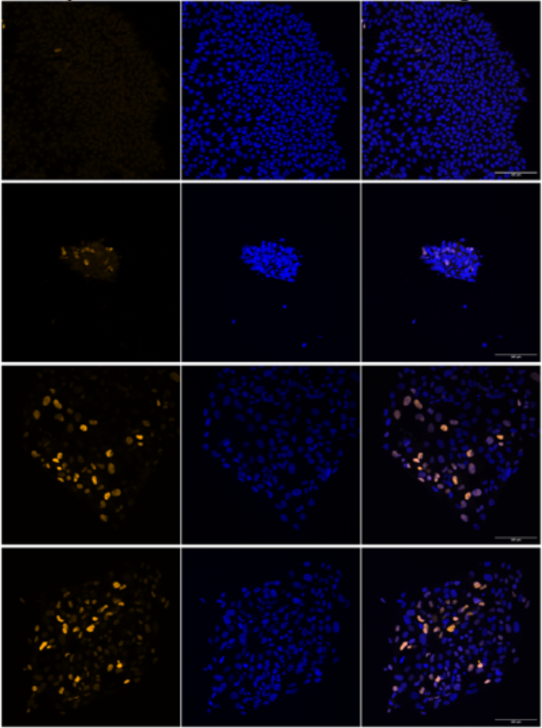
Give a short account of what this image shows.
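In the second row the colony is much smaller and compact, and a cluster of its nuclei carries orange signal. In the lower two rows the nuclei are larger and more loosely spaced. There, many scattered nuclei show bright orange signal, which looks pink-orange in the merged images.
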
